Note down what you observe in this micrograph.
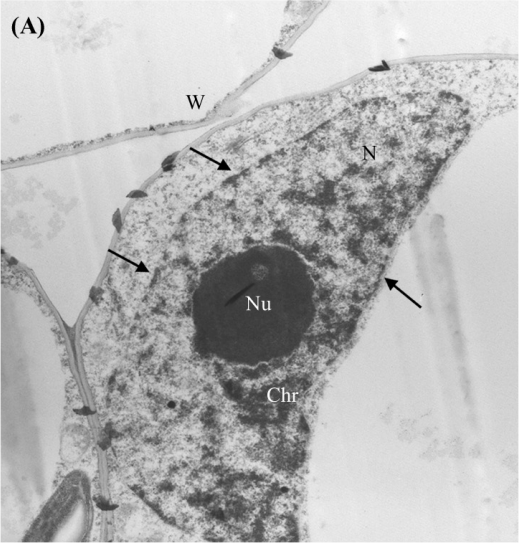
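A single large, very dense, rounded nucleolus stands out in the centre of the nucleus, and darker clumps of chromatin are spread through the lighter nucleoplasm, some lying near the nucleolus. Arrows point to the thin nuclear envelope that separates the nucleus from the thin rim of surrounding cytoplasm.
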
